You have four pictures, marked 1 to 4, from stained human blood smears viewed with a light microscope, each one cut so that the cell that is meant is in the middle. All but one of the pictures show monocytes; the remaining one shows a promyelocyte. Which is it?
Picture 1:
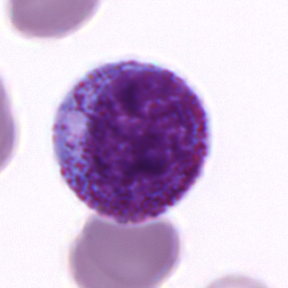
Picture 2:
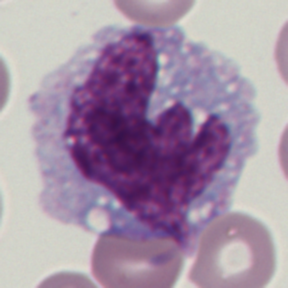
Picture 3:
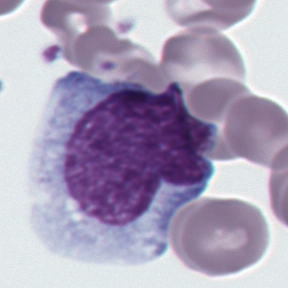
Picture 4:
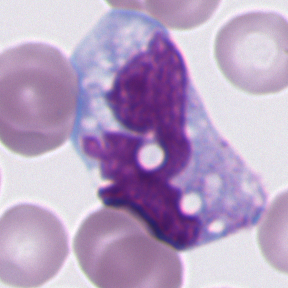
1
